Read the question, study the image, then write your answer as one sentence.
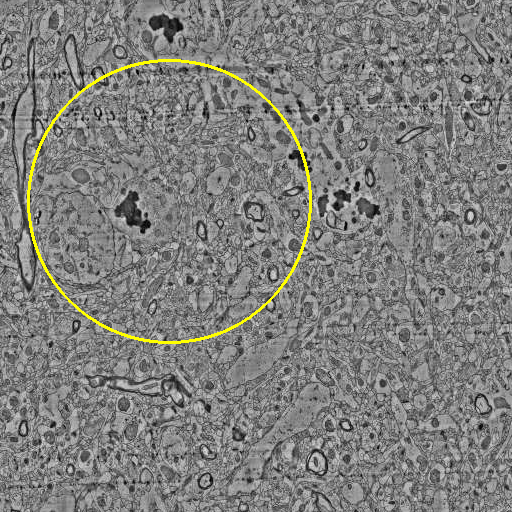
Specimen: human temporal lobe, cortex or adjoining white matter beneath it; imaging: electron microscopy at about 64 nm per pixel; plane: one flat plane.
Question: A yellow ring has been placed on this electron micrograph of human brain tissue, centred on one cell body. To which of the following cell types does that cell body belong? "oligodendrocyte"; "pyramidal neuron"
That cell body belongs to an oligodendrocyte.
